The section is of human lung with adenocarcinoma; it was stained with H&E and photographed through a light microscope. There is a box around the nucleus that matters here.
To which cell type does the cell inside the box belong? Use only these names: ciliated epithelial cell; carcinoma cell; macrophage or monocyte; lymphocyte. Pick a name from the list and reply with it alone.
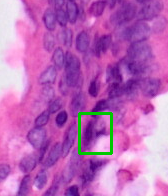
ciliated epithelial cell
